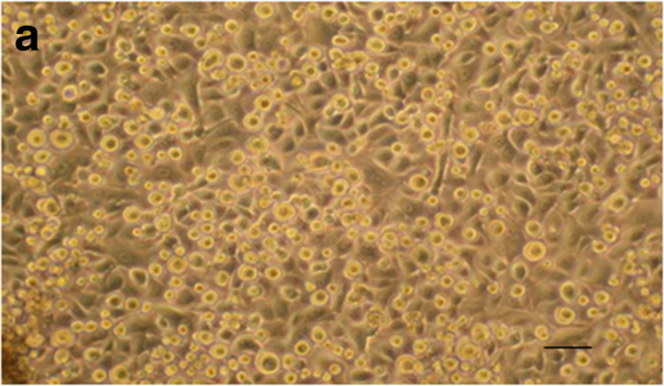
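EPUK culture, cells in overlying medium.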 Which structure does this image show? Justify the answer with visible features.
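A continuous sheet of flat cells lies beneath the whole field. Many round bright refractile cells sit on top of the sheet. On this evidence: complete monolayer.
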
